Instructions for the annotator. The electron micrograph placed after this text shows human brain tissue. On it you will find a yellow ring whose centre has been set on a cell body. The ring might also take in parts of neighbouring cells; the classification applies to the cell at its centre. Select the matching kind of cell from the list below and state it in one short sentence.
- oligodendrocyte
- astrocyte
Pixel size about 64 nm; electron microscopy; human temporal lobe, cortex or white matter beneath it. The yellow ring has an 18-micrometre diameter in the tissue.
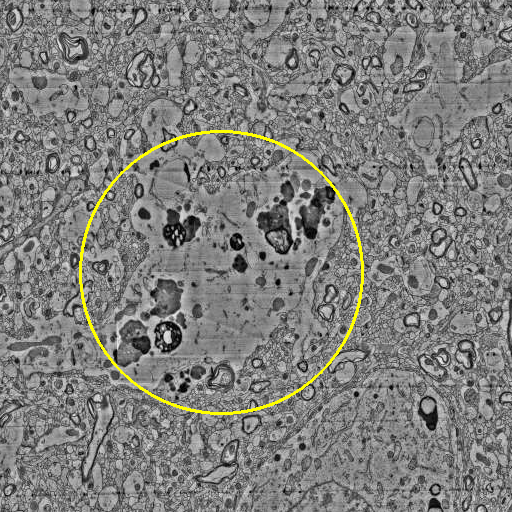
The ring is drawn on the cell body of an astrocyte.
